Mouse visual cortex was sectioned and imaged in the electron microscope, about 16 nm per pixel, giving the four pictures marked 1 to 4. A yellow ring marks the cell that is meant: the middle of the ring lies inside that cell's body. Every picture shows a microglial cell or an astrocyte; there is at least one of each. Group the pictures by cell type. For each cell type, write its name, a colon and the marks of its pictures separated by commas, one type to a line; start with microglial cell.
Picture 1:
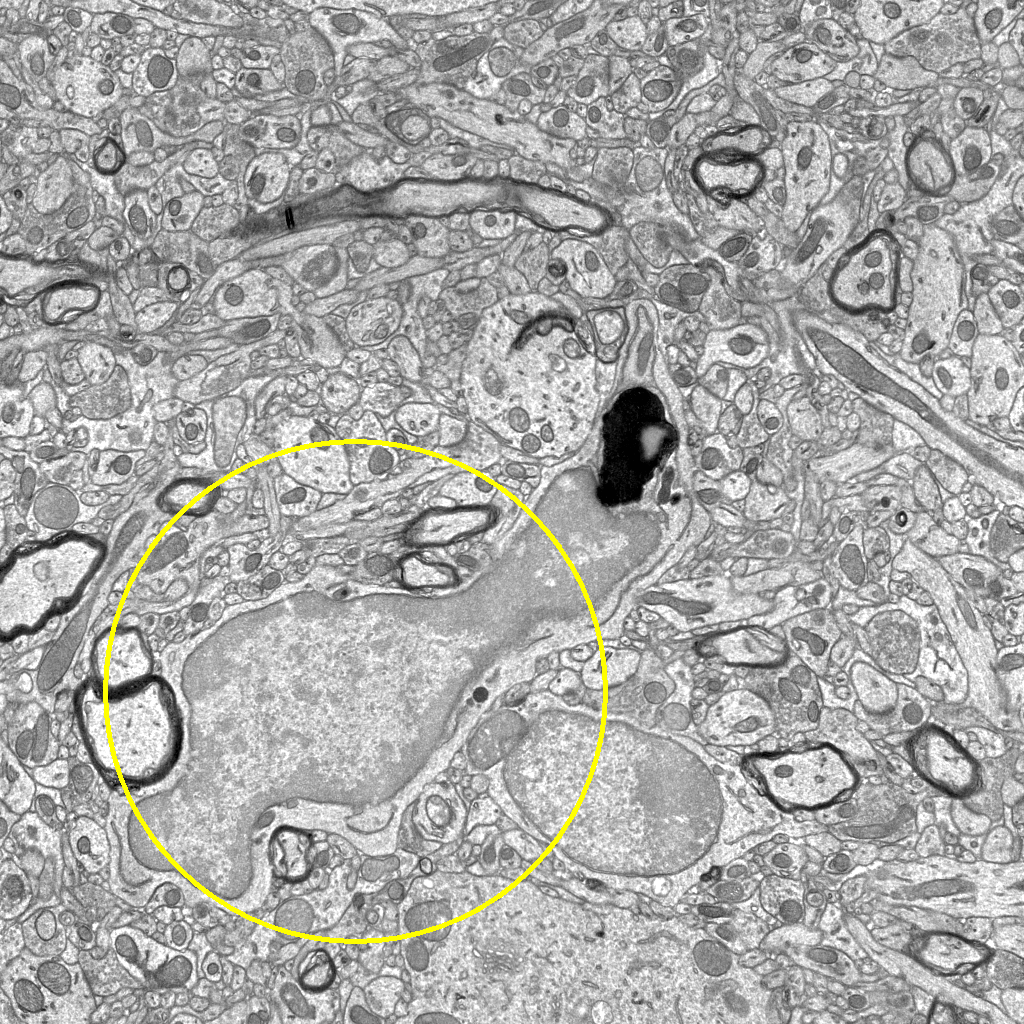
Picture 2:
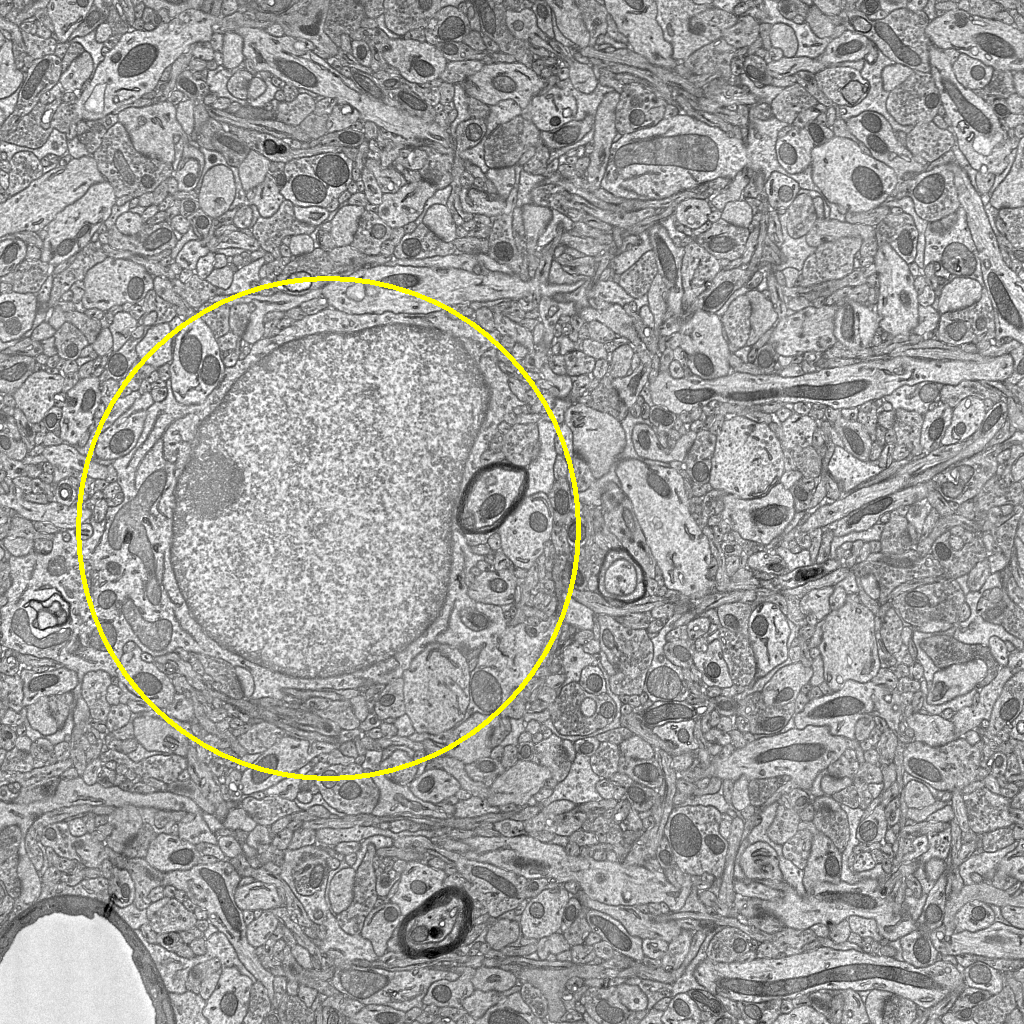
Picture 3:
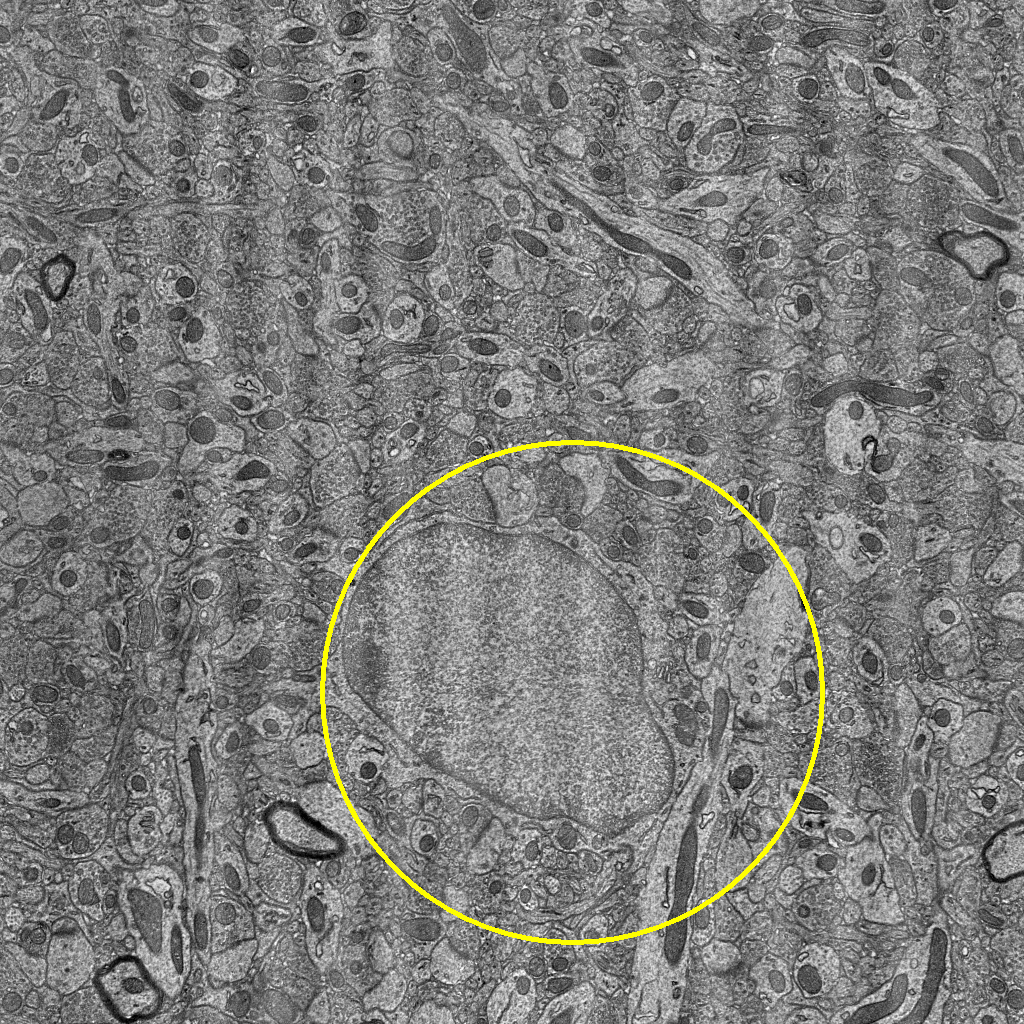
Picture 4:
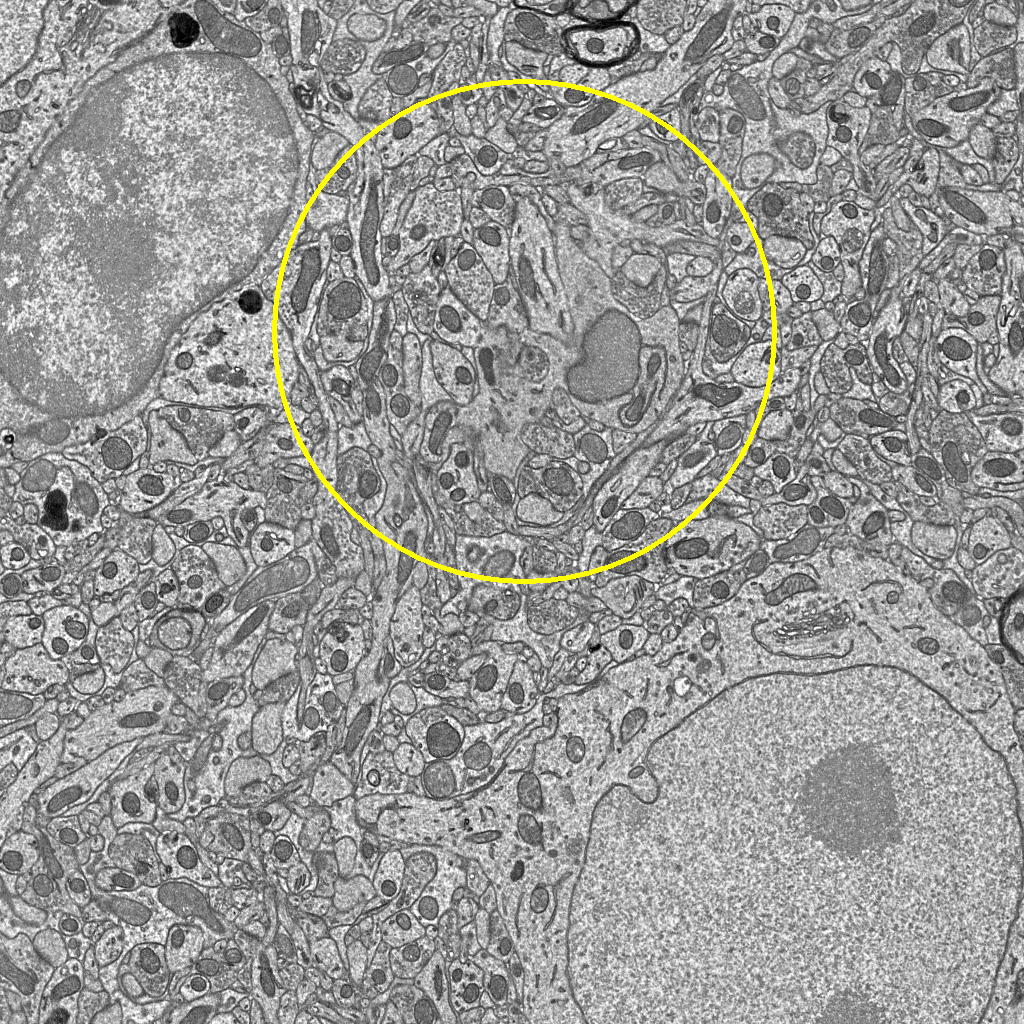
microglial cell: 1, 4
astrocyte: 2, 3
